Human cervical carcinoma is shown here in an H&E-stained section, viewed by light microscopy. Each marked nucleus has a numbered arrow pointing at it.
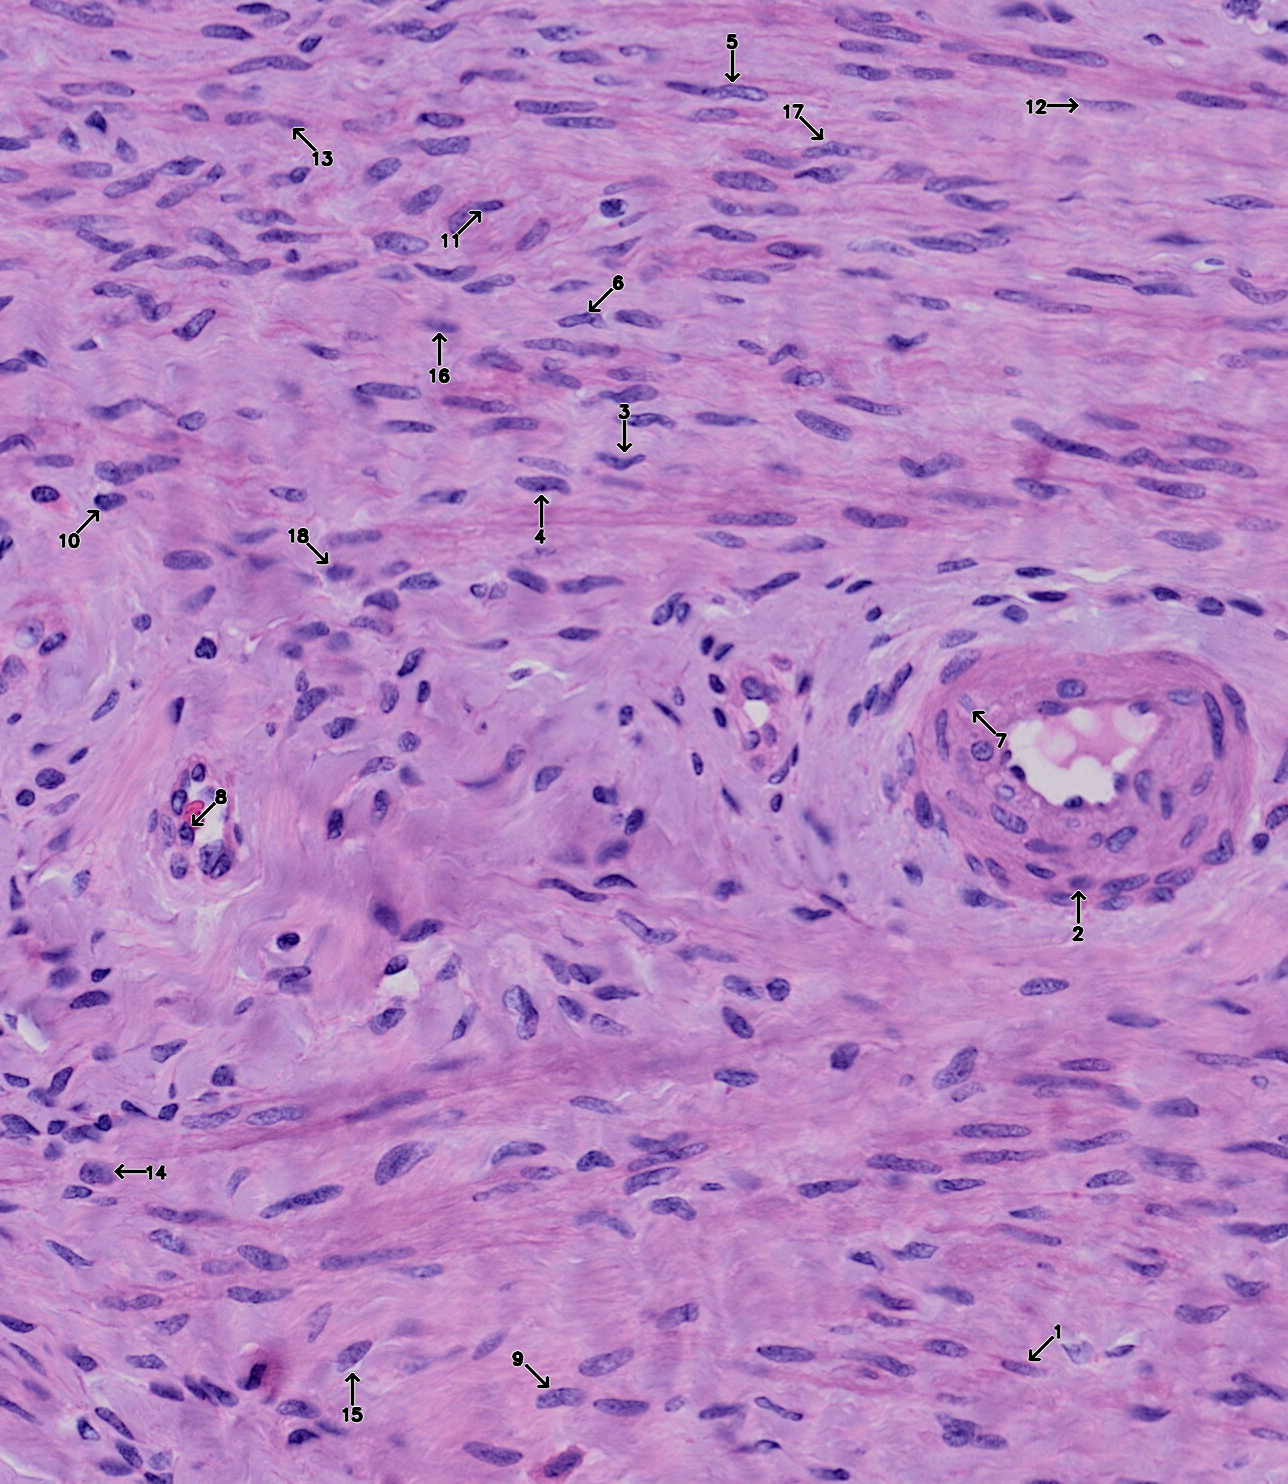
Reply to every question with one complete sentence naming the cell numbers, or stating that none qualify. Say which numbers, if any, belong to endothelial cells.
Among the cells marked with numbers, the only one that is an endothelial cell is number 8.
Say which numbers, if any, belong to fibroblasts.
The cells with labels 3, 4, 6, 9, 10, 12, 14, 15, 16 and 18 are fibroblasts.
